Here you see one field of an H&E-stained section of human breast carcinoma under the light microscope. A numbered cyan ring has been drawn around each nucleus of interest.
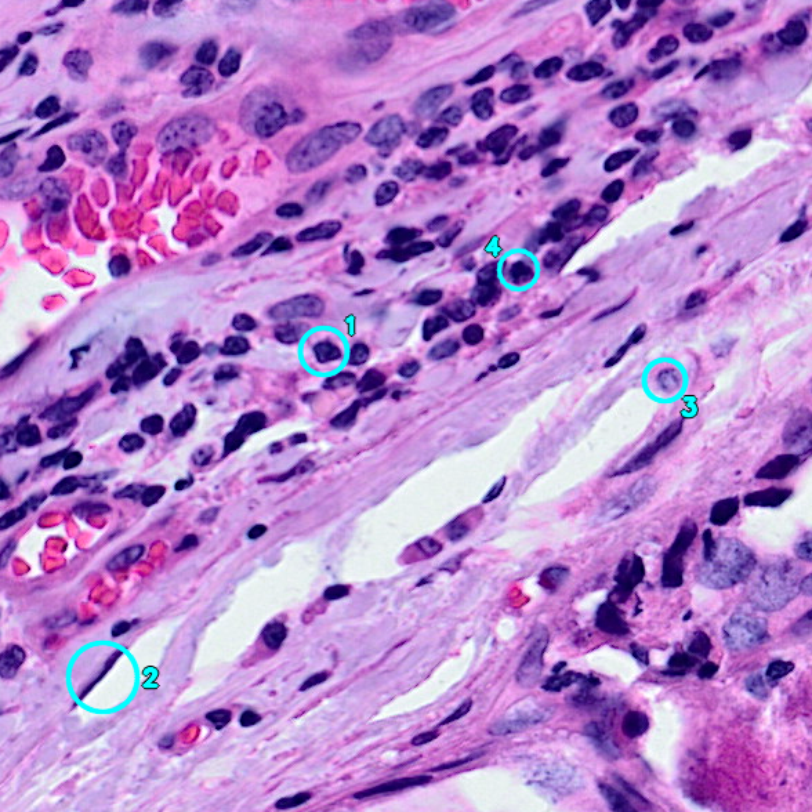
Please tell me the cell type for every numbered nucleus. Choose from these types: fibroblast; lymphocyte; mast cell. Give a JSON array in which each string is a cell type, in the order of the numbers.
["lymphocyte", "fibroblast", "mast cell", "lymphocyte"]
